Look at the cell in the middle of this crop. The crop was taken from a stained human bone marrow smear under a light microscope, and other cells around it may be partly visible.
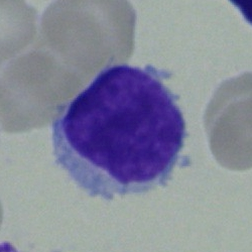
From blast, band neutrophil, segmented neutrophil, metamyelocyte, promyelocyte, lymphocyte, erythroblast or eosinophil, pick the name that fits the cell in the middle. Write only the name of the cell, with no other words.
lymphocyte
